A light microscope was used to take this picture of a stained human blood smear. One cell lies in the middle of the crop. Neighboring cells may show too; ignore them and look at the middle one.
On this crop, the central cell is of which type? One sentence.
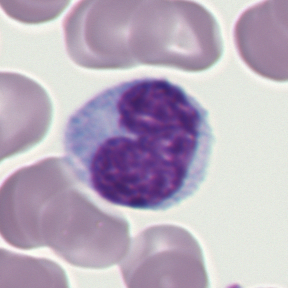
For this crop, the cell in the middle is a monocyte.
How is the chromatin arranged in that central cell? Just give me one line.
Just so you know, its chromatin is coarsely clumped.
